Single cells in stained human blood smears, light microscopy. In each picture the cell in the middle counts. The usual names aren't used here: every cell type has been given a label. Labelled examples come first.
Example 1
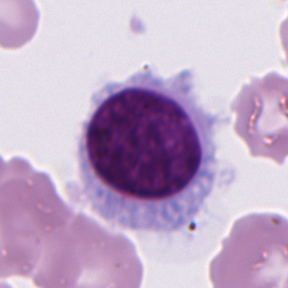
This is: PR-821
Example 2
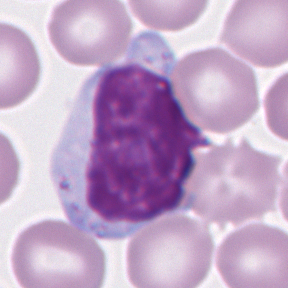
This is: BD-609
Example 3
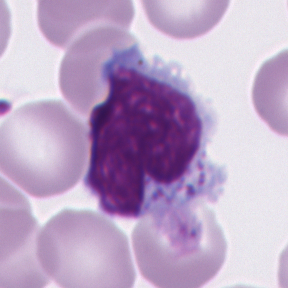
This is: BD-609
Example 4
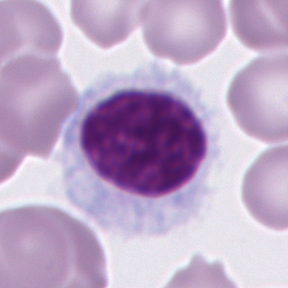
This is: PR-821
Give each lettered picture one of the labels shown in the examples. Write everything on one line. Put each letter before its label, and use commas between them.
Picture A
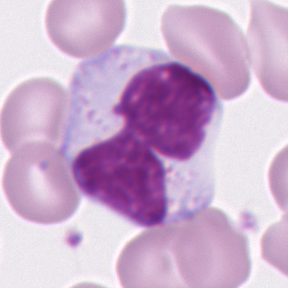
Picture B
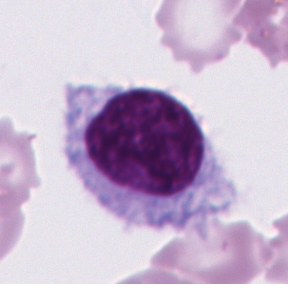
A BD-609, B PR-821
